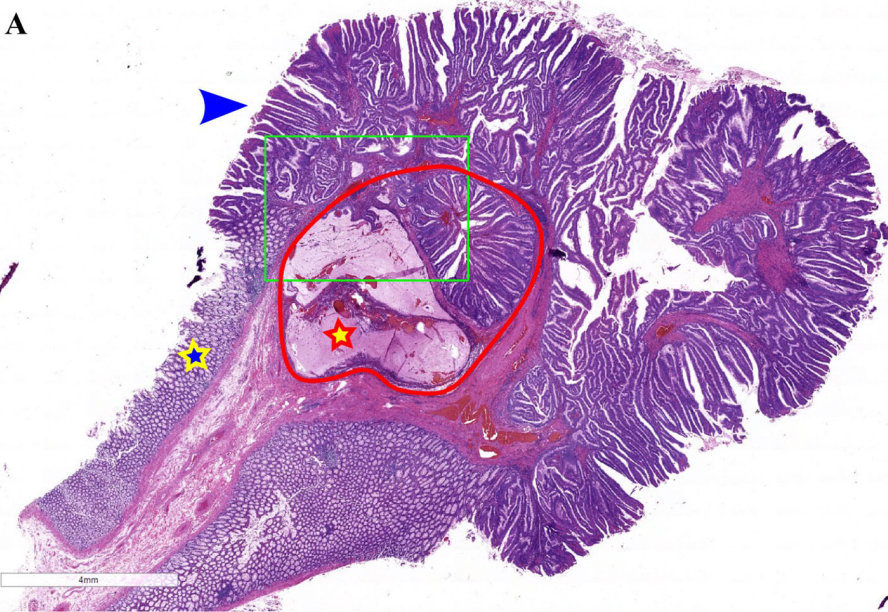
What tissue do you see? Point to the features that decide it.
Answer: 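A broad head of crowded, branching, darkly stained glandular and villous fronds sits on a narrower stalk. Normal-looking round colonic crypts line the base and stalk at the lower left. A band of pink stromal tissue runs up from the base into the head.
Conclusion: Pedunculated adenomatous colonic polyp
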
